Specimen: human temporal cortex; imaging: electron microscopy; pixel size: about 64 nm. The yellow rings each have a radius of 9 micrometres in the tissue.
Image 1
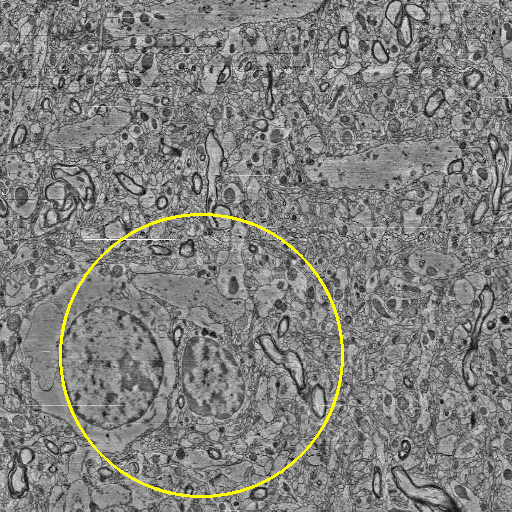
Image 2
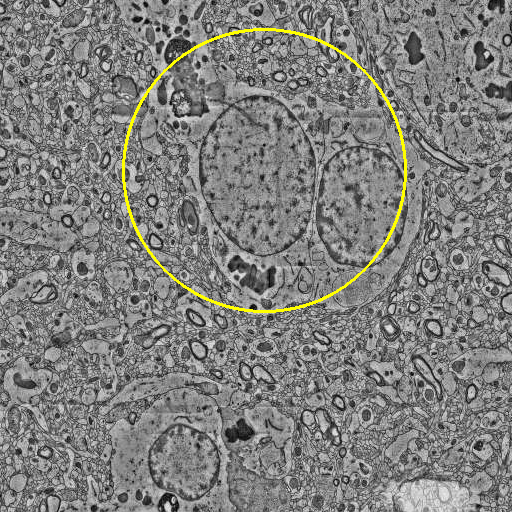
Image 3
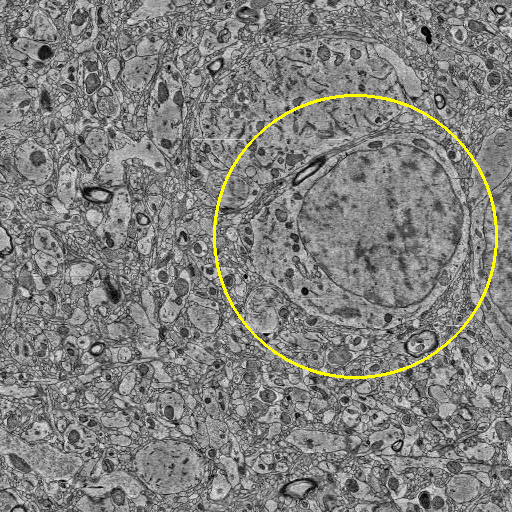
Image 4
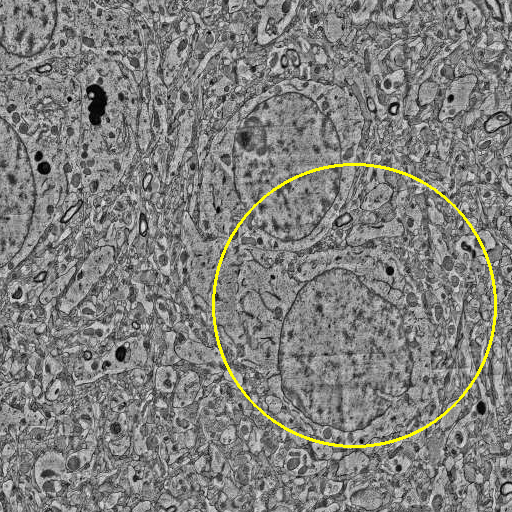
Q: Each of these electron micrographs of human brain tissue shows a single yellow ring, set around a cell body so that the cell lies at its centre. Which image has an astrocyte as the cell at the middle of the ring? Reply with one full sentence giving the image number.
In image 2, the cell lying at the ring's centre is the requested one.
